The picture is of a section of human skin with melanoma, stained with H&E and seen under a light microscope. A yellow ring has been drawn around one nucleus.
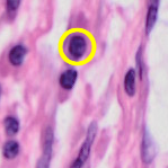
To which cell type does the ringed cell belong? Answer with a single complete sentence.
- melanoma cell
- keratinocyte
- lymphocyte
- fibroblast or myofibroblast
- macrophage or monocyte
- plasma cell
The ringed cell appears to be a plasma cell.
